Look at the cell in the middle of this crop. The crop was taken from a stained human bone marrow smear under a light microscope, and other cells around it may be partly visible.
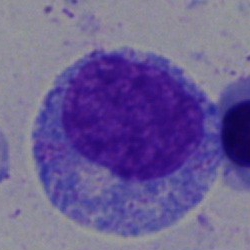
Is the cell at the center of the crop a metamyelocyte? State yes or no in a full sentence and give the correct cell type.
No, the central cell is counted as a myelocyte instead of a metamyelocyte.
